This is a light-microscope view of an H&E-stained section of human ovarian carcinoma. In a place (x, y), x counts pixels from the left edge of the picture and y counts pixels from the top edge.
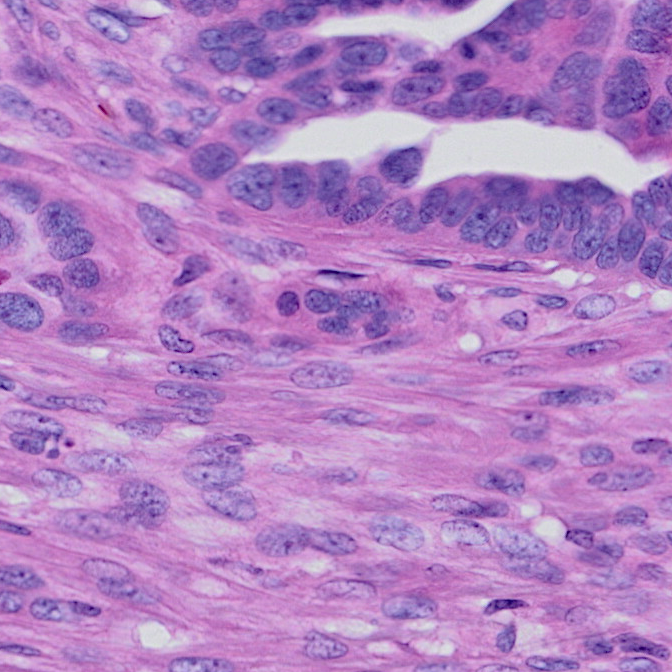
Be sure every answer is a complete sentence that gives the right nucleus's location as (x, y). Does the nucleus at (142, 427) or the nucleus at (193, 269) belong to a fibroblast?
So, of the two, the nucleus at (142, 427) is the one belonging to a fibroblast.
